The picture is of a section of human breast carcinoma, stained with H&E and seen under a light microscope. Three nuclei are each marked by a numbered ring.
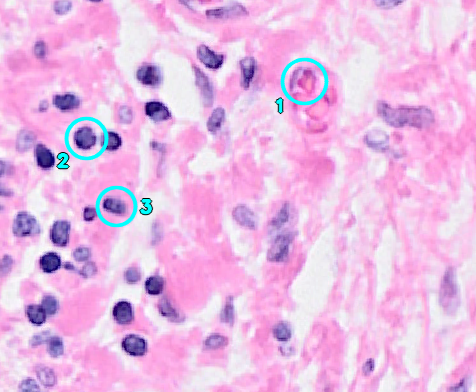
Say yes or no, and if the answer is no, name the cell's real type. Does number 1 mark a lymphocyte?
No, it is an endothelial cell.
